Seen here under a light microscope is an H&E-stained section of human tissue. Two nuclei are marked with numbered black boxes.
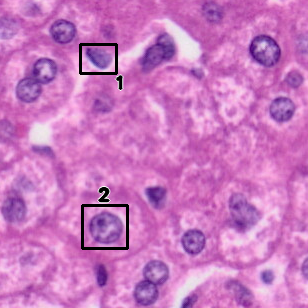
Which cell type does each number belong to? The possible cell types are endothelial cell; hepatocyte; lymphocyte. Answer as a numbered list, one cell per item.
1. endothelial cell
2. hepatocyte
